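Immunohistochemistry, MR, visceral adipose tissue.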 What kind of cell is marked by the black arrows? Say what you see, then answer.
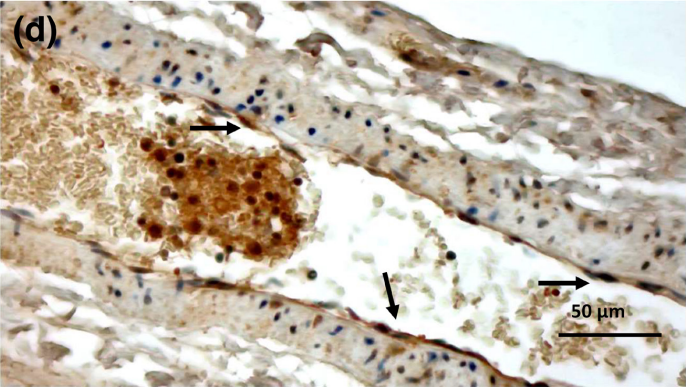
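The arrows point at a thin flat cell layer lining the vessel lumen. The lining layer is stained brown. The answer: endothelial.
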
